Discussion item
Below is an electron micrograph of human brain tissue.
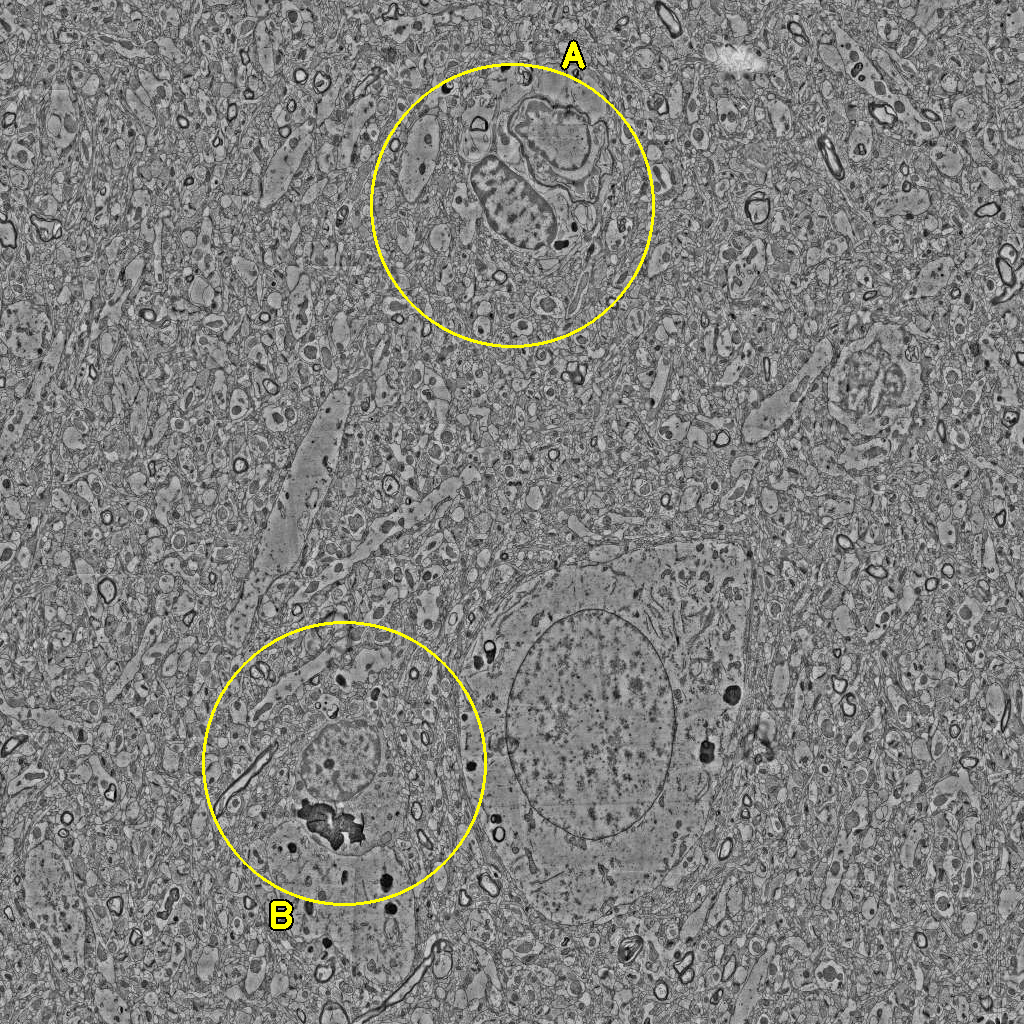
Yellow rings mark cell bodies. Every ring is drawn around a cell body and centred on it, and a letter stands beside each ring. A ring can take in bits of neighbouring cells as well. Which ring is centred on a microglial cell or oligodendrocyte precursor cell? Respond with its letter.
A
